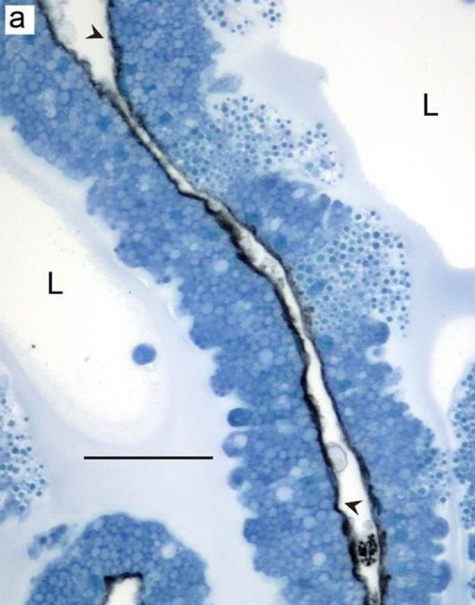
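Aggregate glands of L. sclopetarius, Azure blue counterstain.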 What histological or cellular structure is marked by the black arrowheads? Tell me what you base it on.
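Basal membrane. A thin black line runs along the base of the epithelium, away from the lumen. The epithelial cells packed with blue granules sit on this line.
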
